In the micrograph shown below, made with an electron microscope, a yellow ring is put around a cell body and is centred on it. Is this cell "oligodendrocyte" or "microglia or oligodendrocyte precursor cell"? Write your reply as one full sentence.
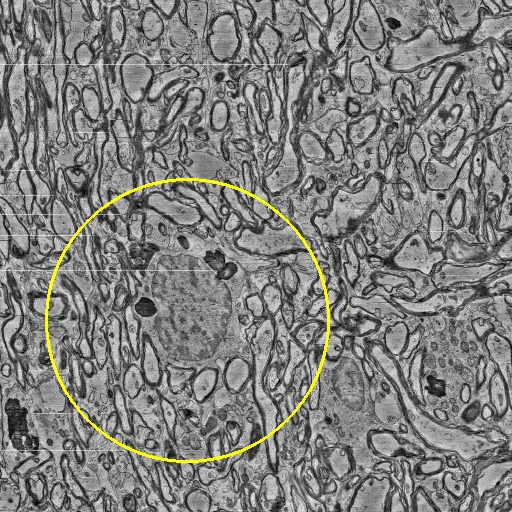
In the micrograph, an oligodendrocyte is the cell at the centre of the yellow ring.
